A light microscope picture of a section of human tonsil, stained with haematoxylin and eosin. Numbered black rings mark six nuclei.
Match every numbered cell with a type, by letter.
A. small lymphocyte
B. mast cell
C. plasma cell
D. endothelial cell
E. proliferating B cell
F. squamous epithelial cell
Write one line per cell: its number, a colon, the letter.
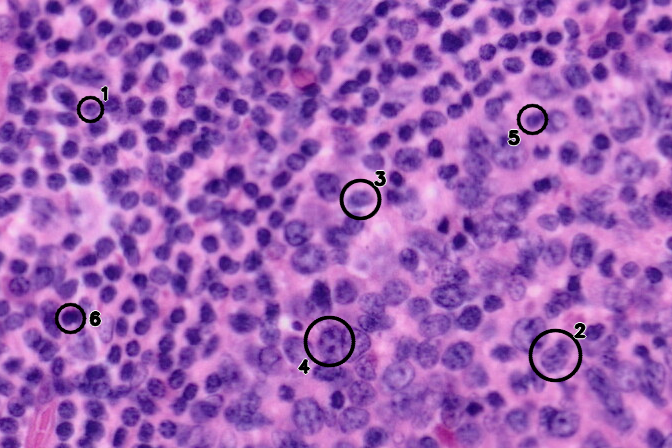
1: A
2: E
3: E
4: E
5: E
6: A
